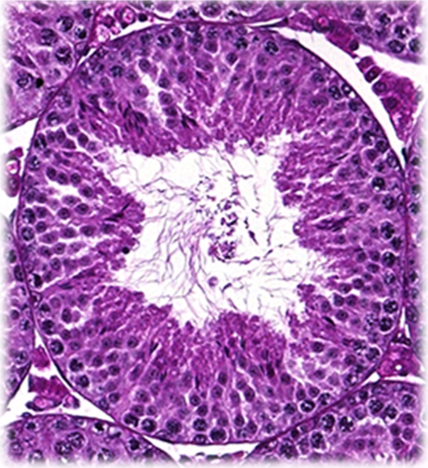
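This is a seminiferous tubule of the testis cut in cross-section, its wall lined by many stacked layers of cells. The lumen is open and filled with pale, wavy tail filaments. Neighbouring tubules and thin interstitial spaces appear at the edges. The orderly layering from the edge to the lumen shows a tubule with full spermatogenesis.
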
